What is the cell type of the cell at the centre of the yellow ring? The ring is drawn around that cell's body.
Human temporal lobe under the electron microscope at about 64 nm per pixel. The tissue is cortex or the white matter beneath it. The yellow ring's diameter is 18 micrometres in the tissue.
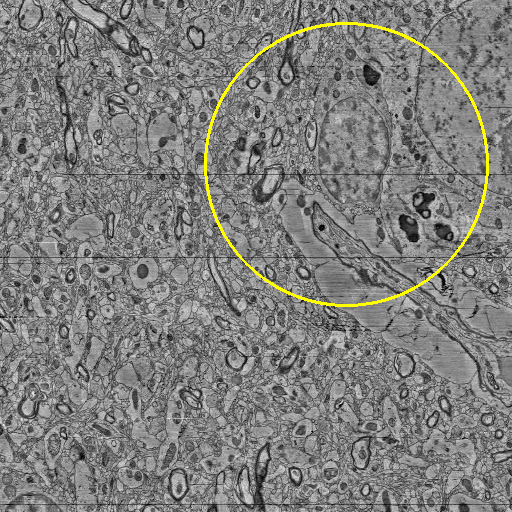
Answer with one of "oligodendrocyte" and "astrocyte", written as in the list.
oligodendrocyte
